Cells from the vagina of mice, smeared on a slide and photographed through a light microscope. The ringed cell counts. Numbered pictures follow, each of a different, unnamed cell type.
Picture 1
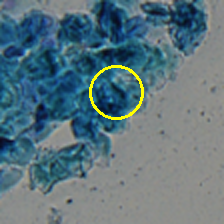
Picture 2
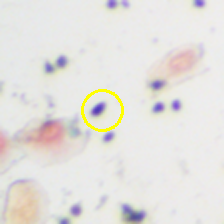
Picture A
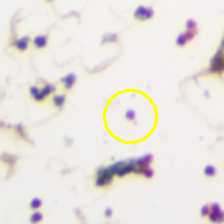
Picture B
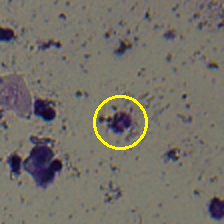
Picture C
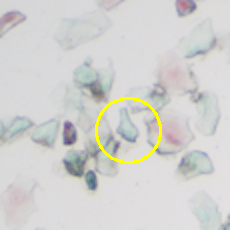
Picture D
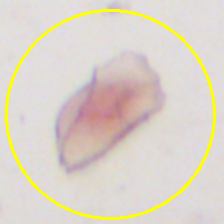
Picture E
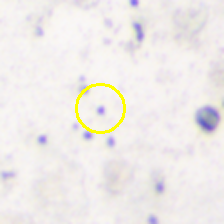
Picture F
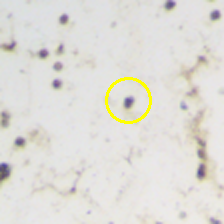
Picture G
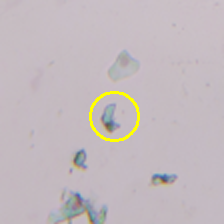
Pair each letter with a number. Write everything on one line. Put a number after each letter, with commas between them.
A 2, B 2, C 1, D 1, E 2, F 2, G 1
